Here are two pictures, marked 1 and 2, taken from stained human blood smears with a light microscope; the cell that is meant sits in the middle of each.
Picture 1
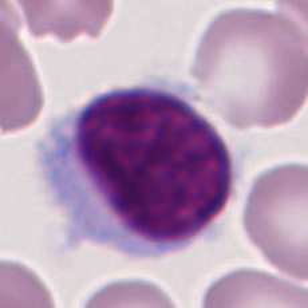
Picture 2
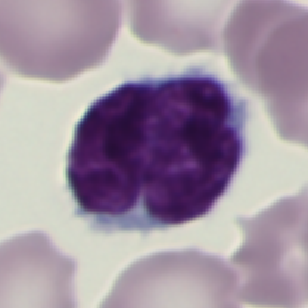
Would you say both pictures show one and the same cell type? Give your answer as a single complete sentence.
Yes; the cells in both pictures are hairy cells.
